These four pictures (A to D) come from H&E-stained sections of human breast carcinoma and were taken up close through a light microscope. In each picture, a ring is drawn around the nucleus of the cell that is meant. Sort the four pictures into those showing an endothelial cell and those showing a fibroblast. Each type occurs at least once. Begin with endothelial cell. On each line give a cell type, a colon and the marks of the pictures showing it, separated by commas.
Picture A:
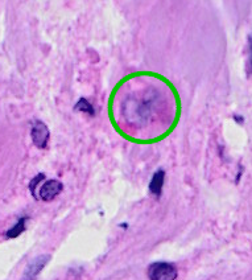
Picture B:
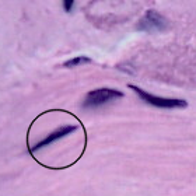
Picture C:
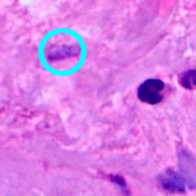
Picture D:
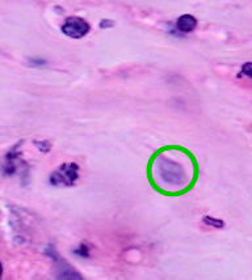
endothelial cell: A
fibroblast: B, C, D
